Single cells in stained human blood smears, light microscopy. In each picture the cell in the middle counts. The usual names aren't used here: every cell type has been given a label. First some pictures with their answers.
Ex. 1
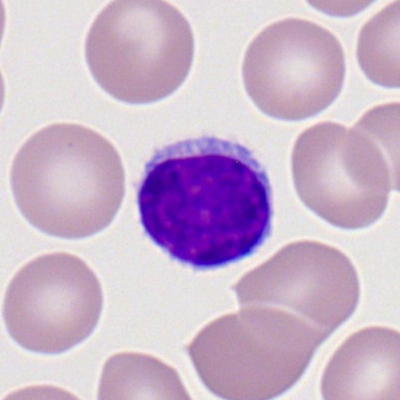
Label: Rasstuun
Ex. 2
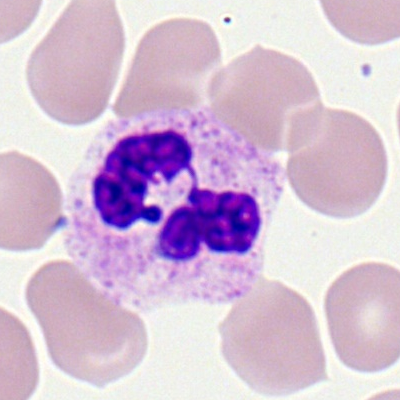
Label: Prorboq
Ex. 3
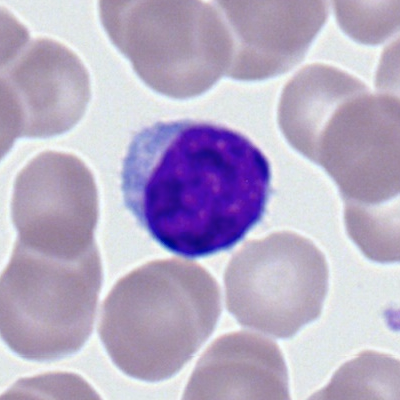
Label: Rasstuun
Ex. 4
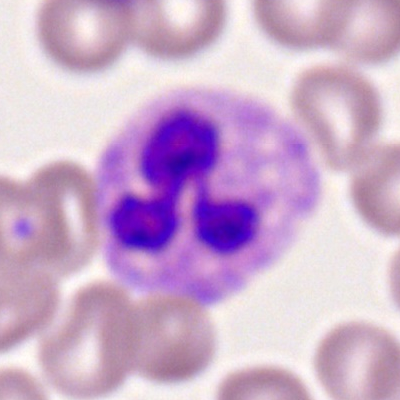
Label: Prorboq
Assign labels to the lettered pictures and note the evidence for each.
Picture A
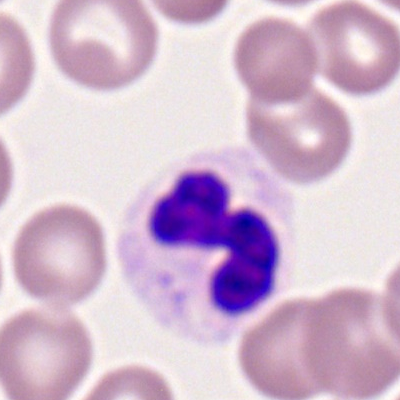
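Label: Prorboq. The cytoplasm is plentiful and pale pinkish-lilac.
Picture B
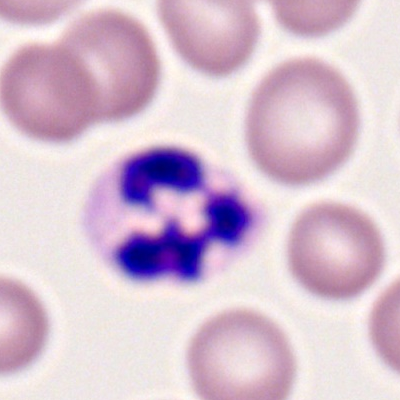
Label: Prorboq. The nucleus is divided into several separate lobes.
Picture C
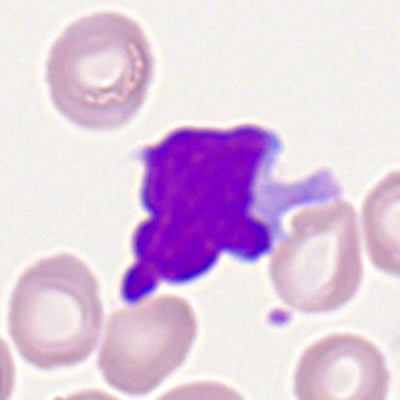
Label: Rasstuun. A small amount of pale blue cytoplasm lies mainly on the right side of the cell.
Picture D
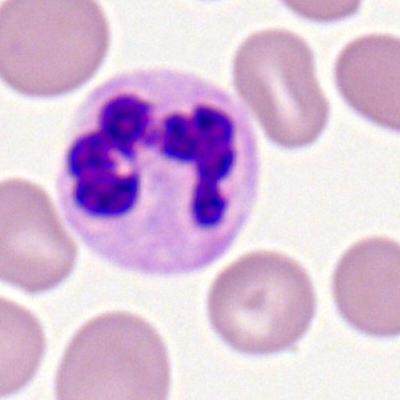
Label: Prorboq. The nucleus is split into more than two separate lobes linked by thin strands.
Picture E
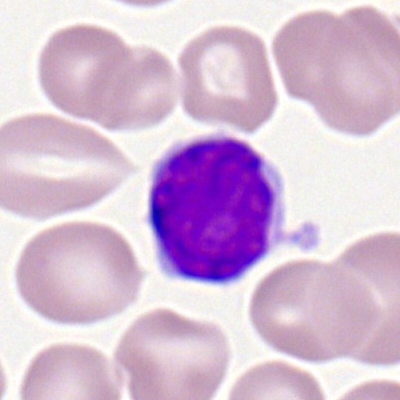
Label: Rasstuun. The cytoplasm is a very thin pale blue rim around the nucleus.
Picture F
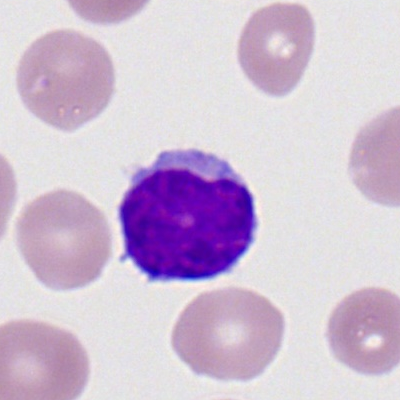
Label: Rasstuun. The nucleus fills almost the whole cell.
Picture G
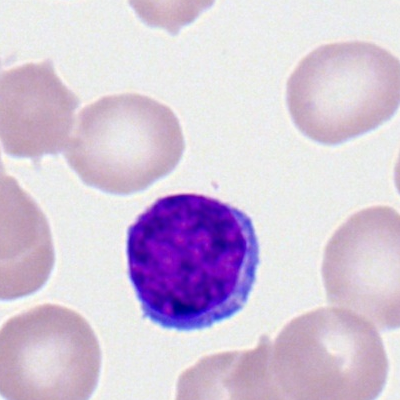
Label: Rasstuun. The cytoplasm forms only a thin rim around the nucleus.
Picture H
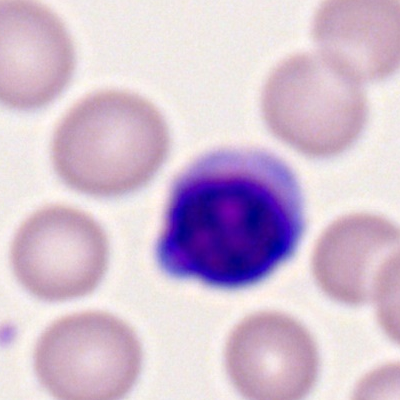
Label: Rasstuun. The nucleus fills most of the cell.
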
